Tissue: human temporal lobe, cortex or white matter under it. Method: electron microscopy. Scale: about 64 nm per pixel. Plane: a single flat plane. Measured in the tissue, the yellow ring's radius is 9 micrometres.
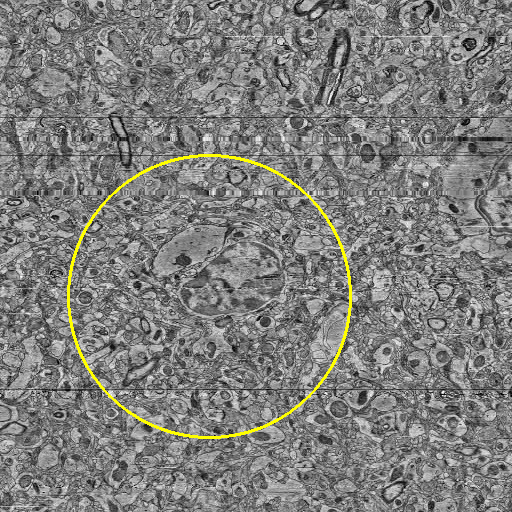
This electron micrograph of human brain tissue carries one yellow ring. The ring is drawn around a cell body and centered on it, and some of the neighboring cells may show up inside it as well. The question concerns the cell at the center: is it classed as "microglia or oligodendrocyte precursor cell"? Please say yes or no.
Yes, it is classed that way.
